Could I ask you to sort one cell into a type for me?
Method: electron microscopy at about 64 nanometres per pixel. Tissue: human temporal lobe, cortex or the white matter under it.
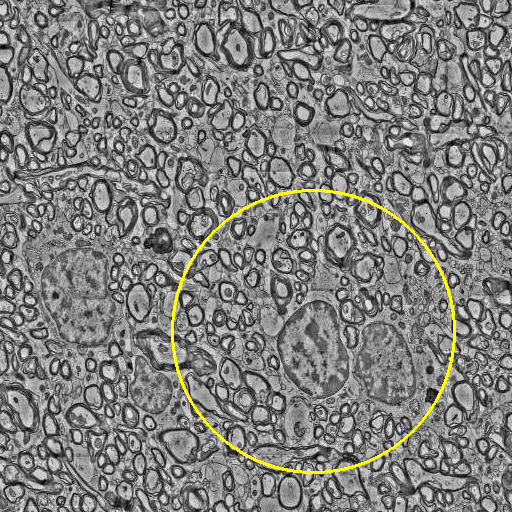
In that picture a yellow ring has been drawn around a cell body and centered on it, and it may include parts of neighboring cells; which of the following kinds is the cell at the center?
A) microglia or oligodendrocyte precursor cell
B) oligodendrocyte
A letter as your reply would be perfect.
A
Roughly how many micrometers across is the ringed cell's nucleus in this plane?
In this plane, roughly 6 by 5 micrometres.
